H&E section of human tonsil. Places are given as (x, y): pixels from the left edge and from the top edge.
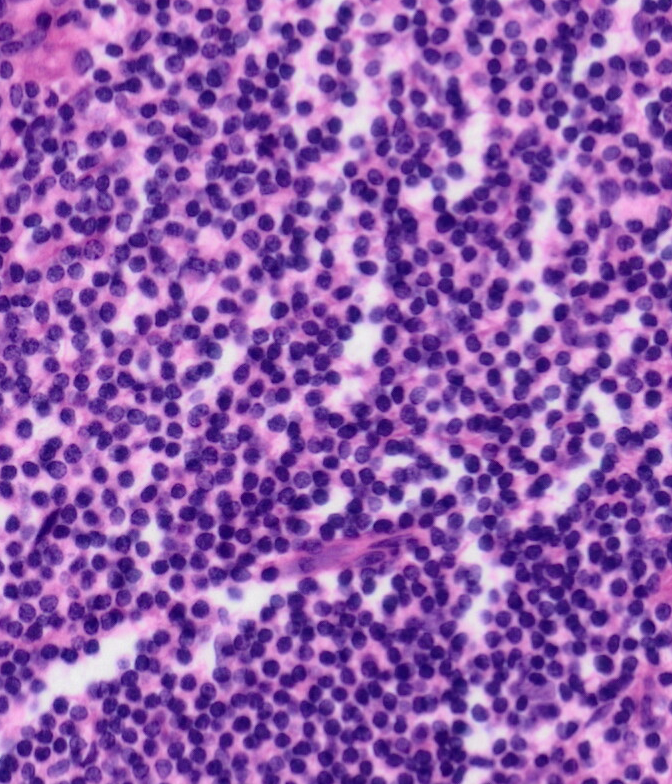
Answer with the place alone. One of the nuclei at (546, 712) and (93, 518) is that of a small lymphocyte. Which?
(93, 518)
